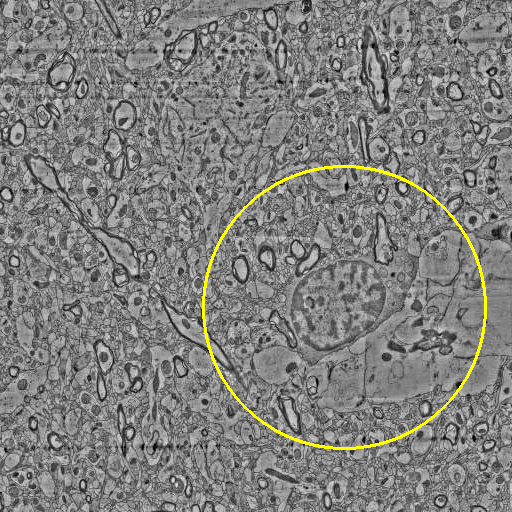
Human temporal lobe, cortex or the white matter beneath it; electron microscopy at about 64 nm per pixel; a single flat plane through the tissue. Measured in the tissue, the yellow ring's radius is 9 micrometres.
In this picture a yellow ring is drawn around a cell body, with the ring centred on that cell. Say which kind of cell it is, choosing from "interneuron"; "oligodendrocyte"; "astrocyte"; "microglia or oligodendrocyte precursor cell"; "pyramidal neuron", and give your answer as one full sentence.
Here it is an oligodendrocyte that sits at the centre of the drawn yellow ring.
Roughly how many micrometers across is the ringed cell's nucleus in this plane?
In this plane, about 6 micrometres in length and 5 in width.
